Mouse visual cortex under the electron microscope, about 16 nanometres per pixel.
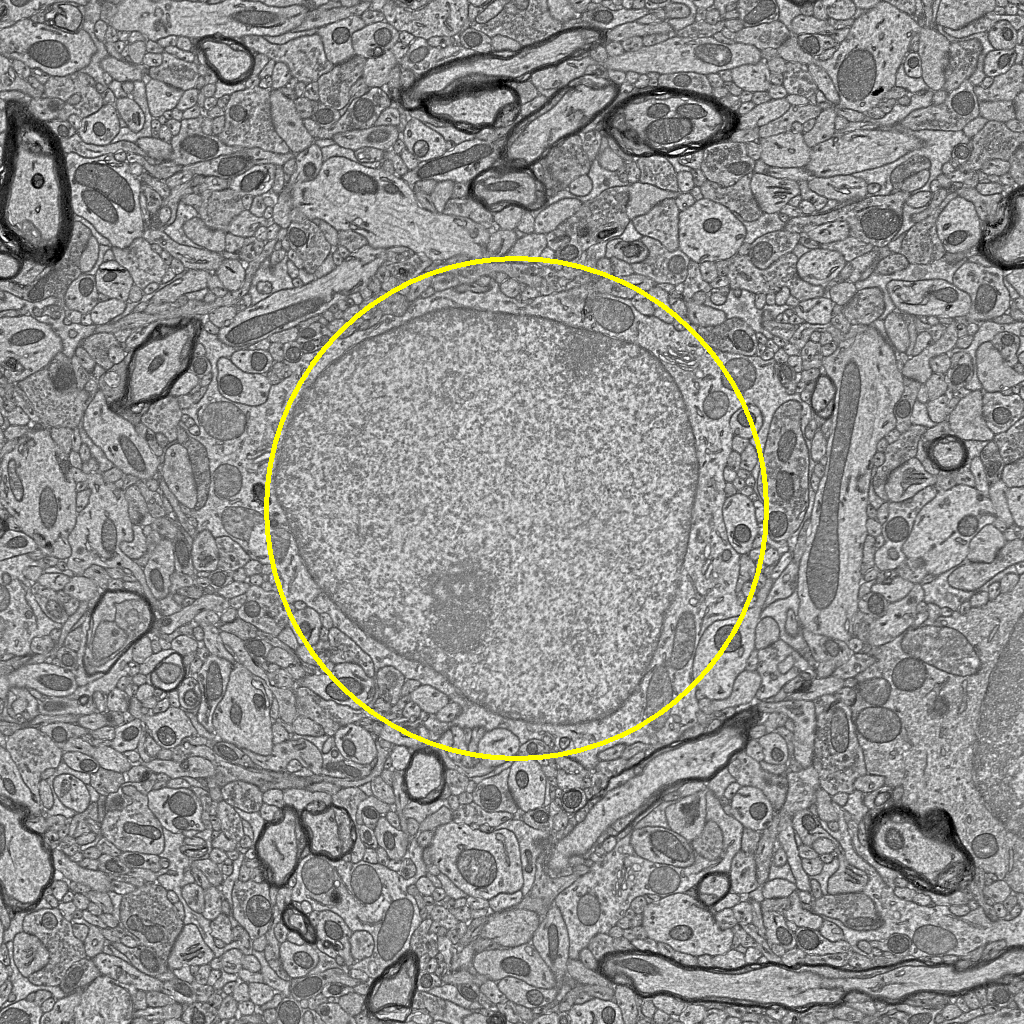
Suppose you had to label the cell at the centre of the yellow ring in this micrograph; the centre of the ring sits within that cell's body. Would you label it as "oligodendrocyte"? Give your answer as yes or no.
No, I would label it as another kind.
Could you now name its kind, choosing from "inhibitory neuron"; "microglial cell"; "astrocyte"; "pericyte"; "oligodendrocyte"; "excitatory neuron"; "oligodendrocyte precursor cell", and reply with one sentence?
Instead, the picture shows an astrocyte at the centre of the ring.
